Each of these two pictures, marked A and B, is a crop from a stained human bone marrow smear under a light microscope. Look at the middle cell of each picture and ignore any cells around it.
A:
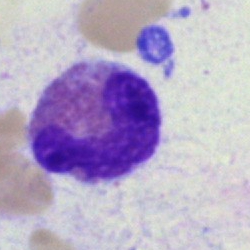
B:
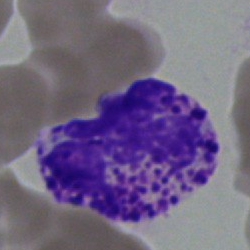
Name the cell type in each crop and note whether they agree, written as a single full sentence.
Yes, the cells that both crops show at the centre are basophils.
